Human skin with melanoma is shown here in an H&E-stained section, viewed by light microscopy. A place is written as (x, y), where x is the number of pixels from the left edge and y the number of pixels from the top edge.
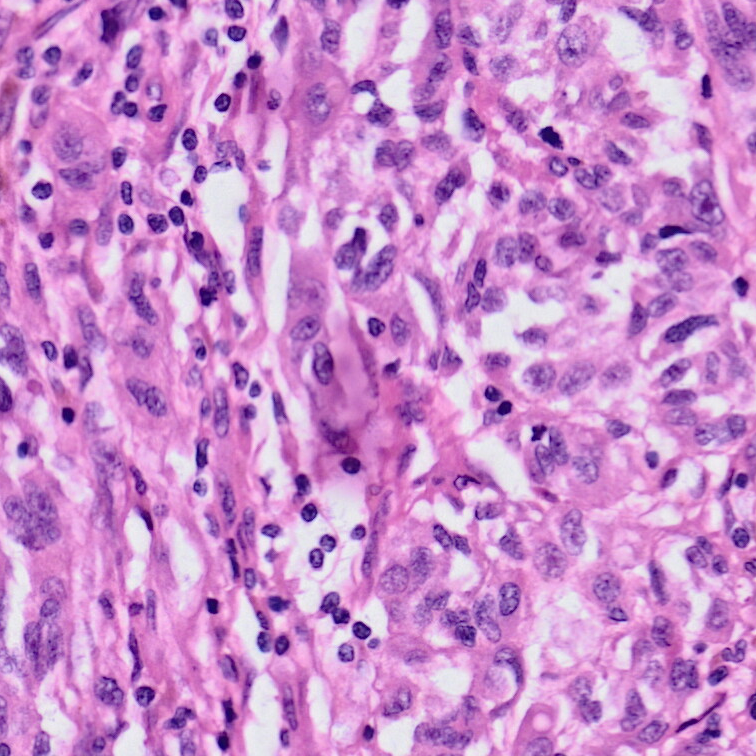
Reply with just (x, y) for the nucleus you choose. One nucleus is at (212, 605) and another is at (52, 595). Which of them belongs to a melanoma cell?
(52, 595)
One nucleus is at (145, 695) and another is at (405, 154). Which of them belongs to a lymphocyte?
(145, 695)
